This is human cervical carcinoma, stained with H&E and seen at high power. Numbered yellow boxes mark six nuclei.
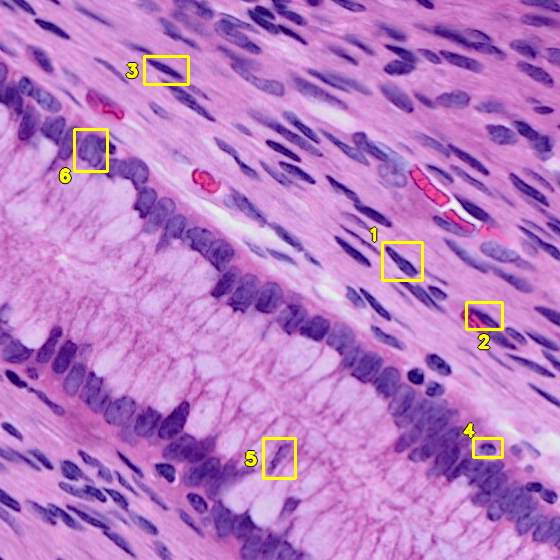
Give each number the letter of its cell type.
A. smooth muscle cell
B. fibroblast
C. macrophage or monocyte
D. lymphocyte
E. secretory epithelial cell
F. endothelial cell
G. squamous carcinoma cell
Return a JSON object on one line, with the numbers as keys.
{"1": "B", "2": "F", "3": "B", "4": "E", "5": "E", "6": "E"}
